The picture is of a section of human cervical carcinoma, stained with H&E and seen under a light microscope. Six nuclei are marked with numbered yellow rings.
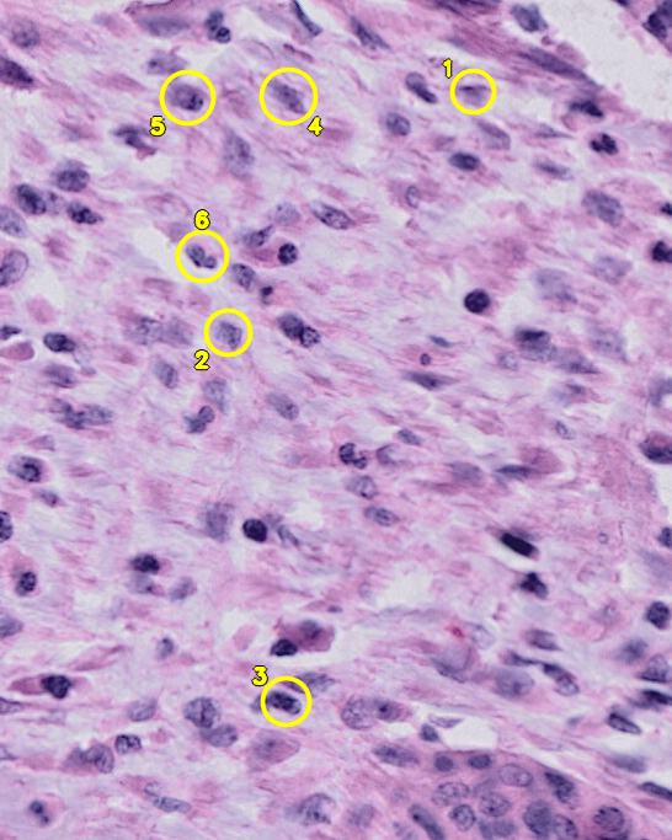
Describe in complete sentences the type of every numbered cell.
Cell 1 is a fibroblast, cell 2 is a fibroblast, cell 3 is a lymphocyte, cell 4 is a fibroblast, cell 5 is a macrophage or monocyte and cell 6 is a lymphocyte.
